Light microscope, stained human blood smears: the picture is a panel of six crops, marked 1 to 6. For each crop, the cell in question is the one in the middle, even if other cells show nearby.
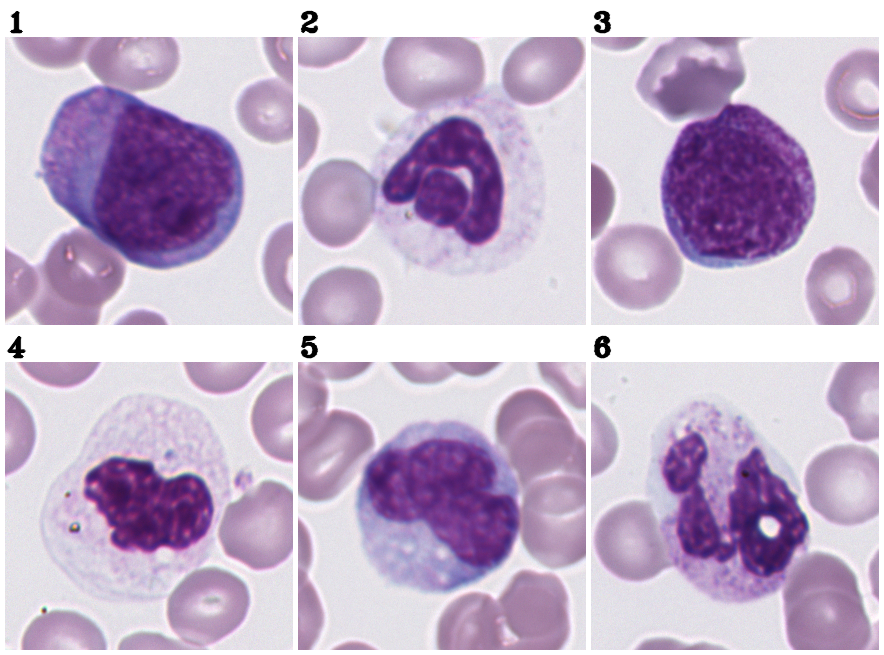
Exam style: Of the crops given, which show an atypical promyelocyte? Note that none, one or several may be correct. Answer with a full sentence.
Of the crops in this set, 1 and 3 show atypical promyelocytes.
